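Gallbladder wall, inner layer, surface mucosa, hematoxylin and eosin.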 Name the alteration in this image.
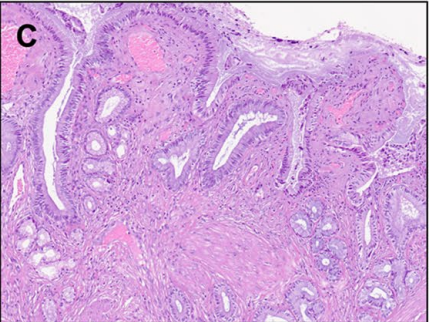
Pseudopyloric metaplasia.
